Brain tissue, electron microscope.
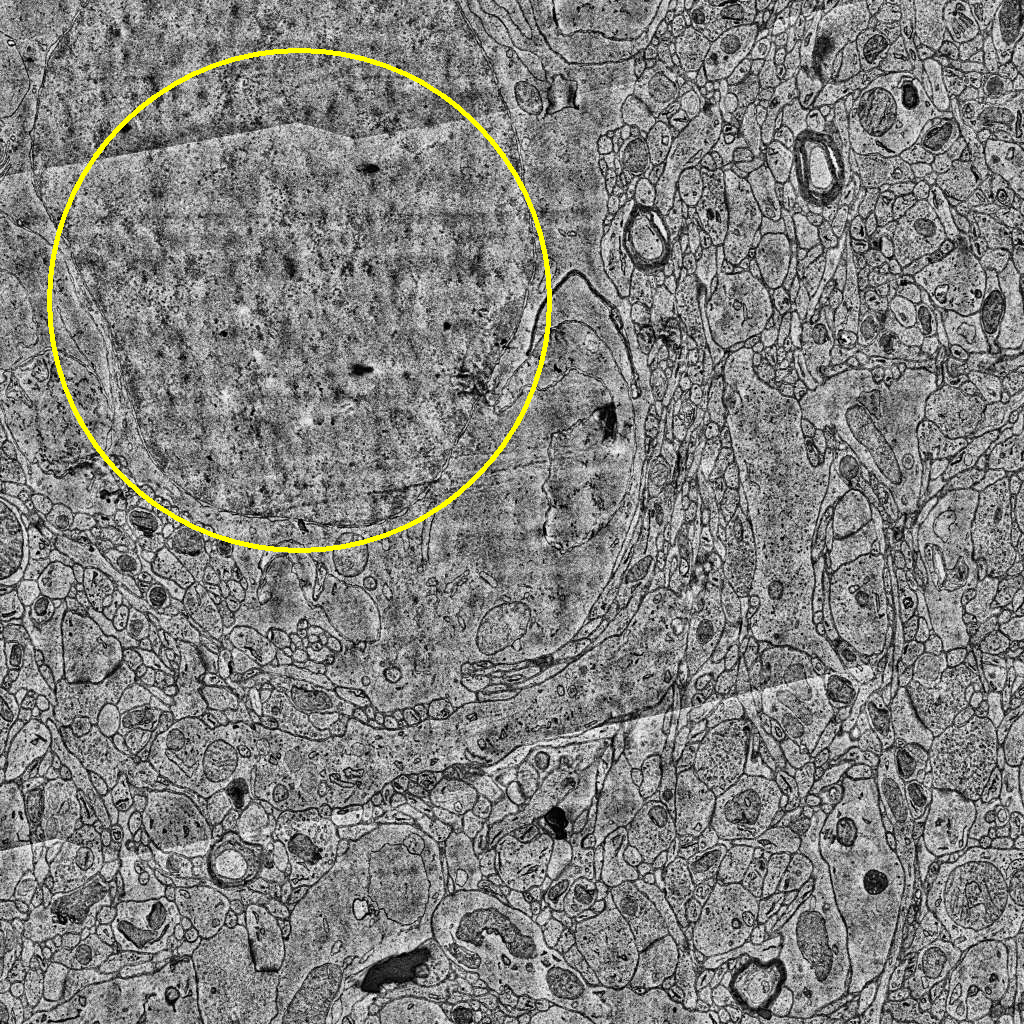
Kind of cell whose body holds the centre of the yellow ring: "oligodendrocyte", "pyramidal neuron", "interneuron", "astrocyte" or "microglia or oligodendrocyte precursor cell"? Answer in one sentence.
The ring's centre falls on an astrocyte.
